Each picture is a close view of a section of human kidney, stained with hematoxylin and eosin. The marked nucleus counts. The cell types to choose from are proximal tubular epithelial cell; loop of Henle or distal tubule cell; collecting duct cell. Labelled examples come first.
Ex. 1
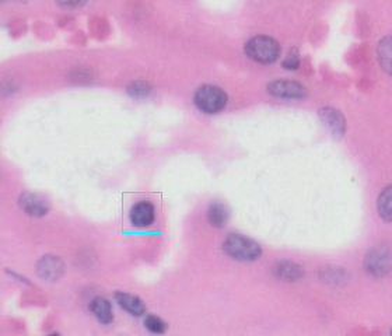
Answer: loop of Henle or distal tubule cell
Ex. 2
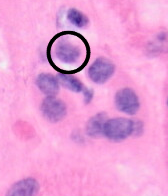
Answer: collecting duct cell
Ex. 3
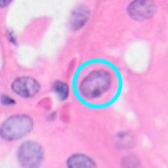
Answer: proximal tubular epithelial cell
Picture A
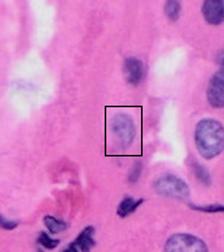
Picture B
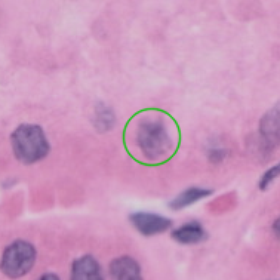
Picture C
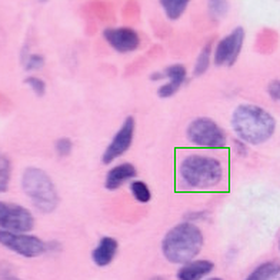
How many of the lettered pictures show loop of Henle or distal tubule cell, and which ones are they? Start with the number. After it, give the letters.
0, none of them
